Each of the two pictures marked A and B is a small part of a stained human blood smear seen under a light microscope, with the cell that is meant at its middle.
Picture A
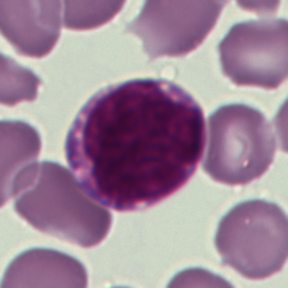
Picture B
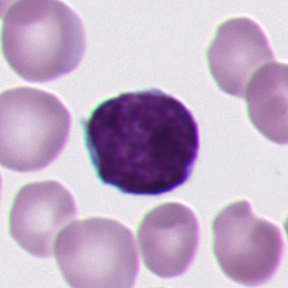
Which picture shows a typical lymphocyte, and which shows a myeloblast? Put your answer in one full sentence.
The cell in picture A is a myeloblast, and the one in picture B is a typical lymphocyte.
